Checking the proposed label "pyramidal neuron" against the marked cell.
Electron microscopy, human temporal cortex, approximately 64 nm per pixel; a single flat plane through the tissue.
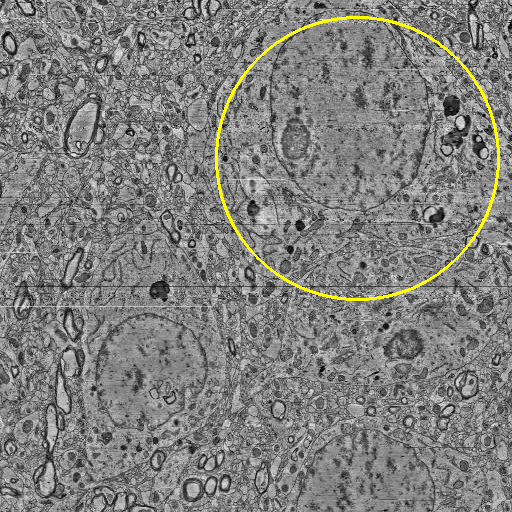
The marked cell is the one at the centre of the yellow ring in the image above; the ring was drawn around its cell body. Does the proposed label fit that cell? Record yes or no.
yes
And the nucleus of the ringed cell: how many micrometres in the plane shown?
Roughly 13 by 11 micrometres in this plane, for the nucleus of the ringed cell.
